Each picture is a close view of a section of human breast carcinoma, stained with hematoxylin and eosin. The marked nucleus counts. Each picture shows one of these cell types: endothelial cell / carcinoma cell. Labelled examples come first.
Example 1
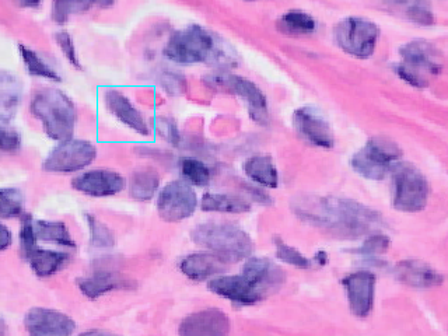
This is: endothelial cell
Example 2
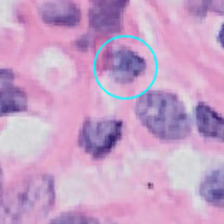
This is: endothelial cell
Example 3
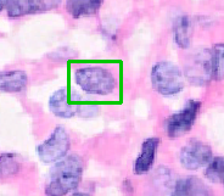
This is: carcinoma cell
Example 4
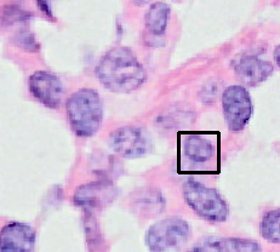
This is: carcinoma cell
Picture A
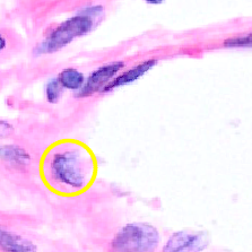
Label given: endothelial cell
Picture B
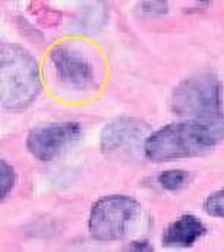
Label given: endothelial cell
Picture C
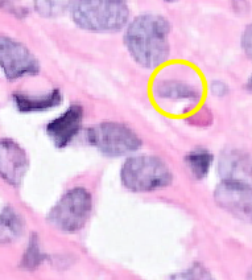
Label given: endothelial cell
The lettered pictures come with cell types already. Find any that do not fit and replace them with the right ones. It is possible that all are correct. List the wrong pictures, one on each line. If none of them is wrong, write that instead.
Every label is right.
